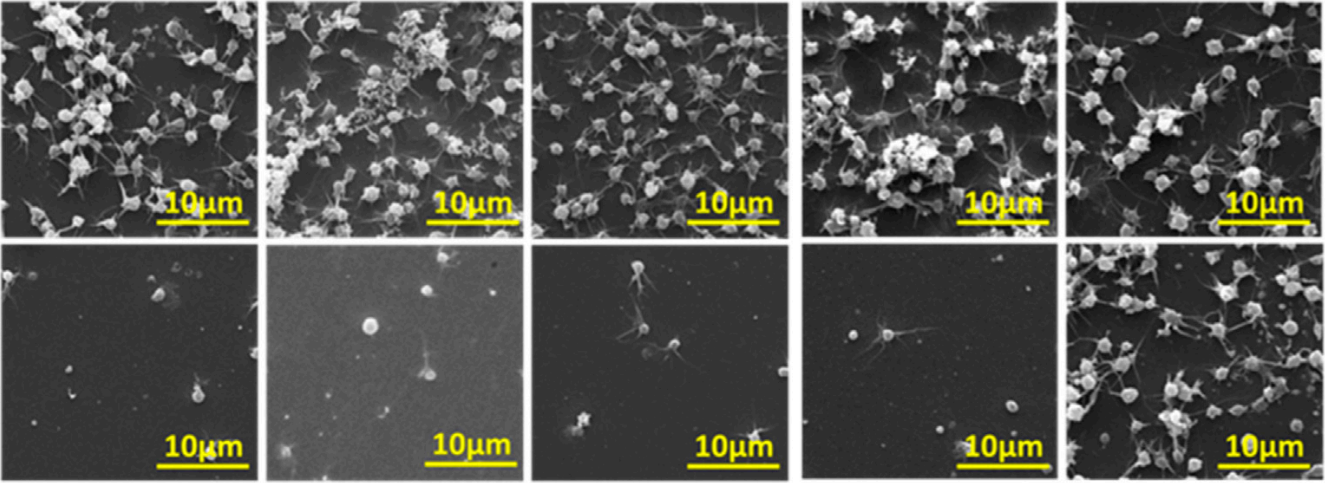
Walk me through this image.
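These are scanning electron micrographs of platelets adhering to flat surfaces. On the most crowded surfaces, many small rounded cell bodies spread thin, spiky processes across the substrate, and some gather into clumps. On other surfaces only a few scattered platelets are seen, some still rounded and some with a few processes.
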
